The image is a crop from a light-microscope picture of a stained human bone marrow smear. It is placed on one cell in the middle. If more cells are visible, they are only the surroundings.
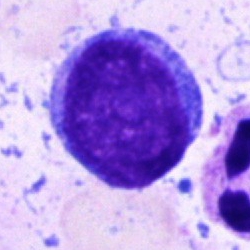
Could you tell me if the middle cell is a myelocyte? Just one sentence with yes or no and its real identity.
No, the cell at the centre is a blast, which rules out a myelocyte.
